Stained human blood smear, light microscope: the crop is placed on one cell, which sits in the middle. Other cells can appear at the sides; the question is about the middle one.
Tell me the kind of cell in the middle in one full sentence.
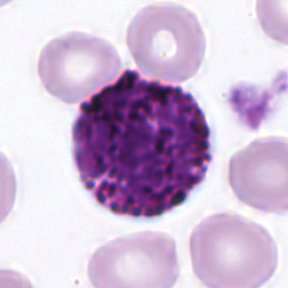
This crop has a basophil at its centre.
